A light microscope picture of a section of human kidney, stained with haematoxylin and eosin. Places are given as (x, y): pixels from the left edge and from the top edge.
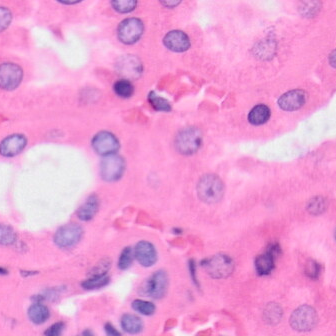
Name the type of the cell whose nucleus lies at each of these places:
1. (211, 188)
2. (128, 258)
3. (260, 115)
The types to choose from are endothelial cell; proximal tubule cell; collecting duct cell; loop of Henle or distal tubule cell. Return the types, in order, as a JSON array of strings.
["proximal tubule cell", "collecting duct cell", "proximal tubule cell"]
